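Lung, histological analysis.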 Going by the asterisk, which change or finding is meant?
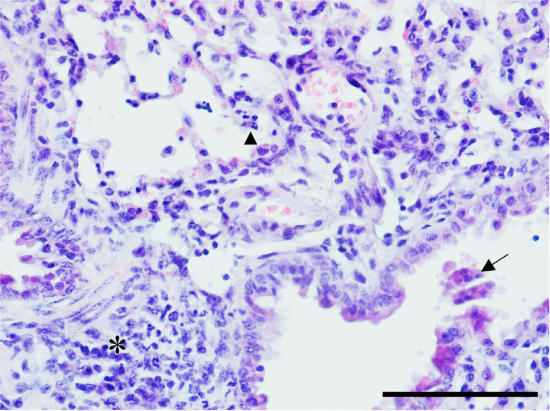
Inflammatory infiltration.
